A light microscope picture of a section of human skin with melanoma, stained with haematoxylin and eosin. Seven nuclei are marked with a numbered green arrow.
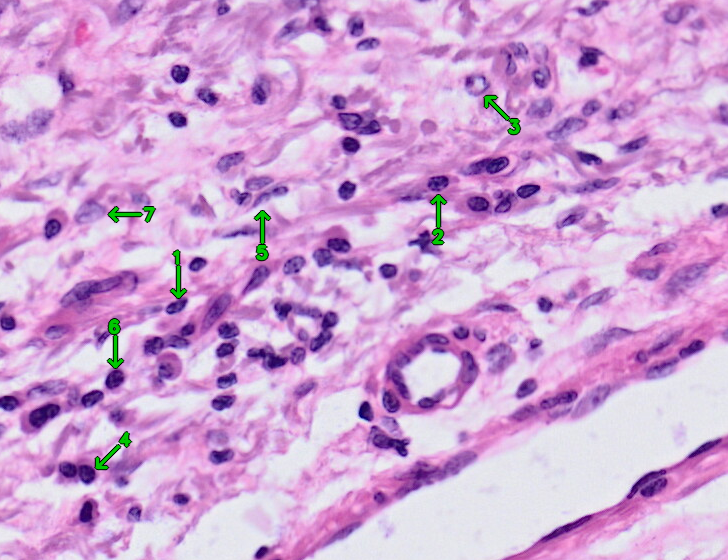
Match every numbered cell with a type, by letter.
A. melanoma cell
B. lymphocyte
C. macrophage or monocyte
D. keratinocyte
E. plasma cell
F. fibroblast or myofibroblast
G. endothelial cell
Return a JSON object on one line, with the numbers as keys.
{"1": "B", "2": "E", "3": "F", "4": "E", "5": "F", "6": "E", "7": "F"}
